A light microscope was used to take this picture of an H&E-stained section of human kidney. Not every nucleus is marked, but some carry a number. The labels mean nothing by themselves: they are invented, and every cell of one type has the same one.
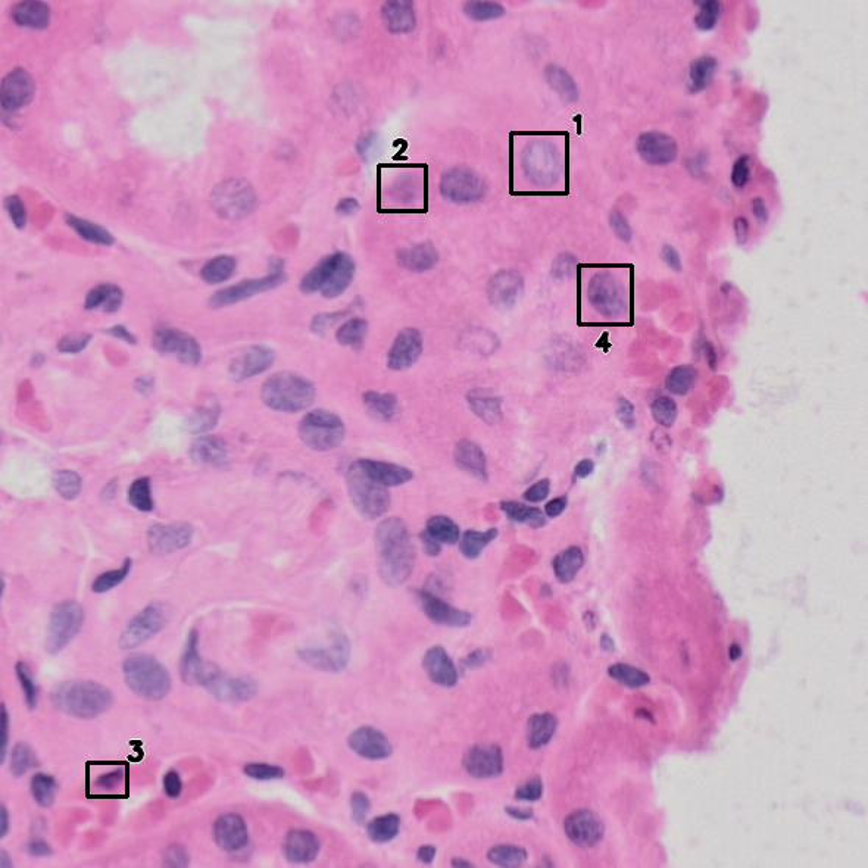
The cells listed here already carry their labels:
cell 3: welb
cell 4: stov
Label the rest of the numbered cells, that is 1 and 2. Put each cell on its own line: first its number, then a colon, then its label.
1: stov
2: stov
